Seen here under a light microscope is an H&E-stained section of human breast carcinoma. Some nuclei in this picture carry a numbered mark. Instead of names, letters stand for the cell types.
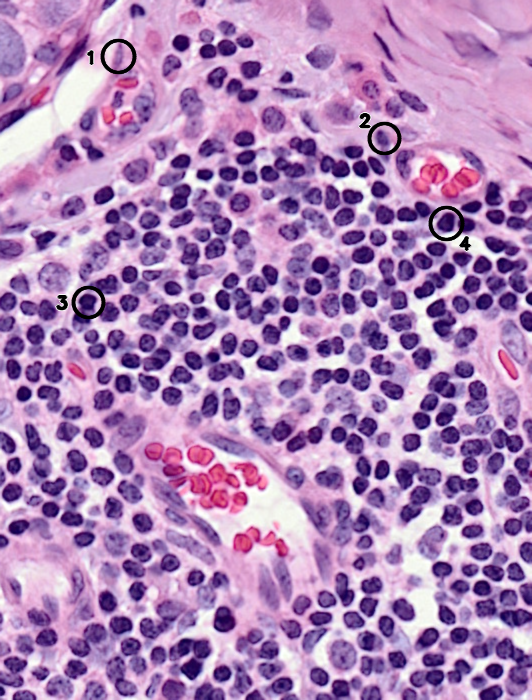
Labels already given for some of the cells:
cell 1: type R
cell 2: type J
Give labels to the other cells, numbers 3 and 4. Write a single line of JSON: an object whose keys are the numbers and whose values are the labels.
{"3": "type J", "4": "type J"}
